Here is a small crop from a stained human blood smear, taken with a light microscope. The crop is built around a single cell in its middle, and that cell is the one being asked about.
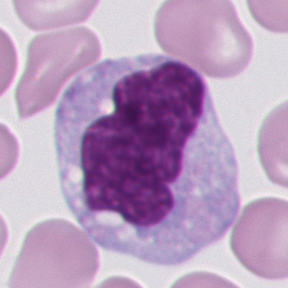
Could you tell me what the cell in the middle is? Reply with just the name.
monocyte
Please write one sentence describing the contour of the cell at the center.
Nothing juts out from the margin, which is smooth throughout.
